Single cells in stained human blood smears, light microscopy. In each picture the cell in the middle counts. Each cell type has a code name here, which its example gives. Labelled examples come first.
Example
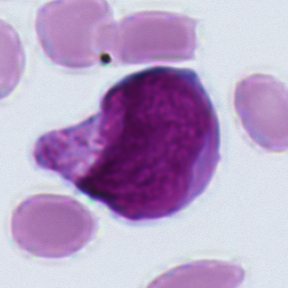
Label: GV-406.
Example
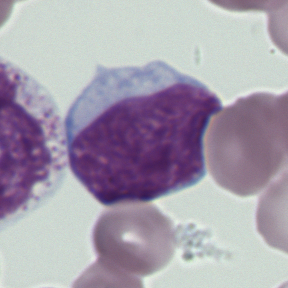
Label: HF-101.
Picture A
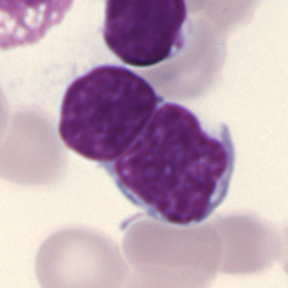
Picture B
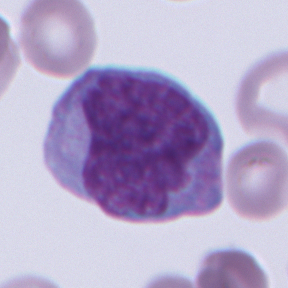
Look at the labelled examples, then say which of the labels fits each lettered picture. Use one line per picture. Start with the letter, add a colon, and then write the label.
A: HF-101.
B: GV-406.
